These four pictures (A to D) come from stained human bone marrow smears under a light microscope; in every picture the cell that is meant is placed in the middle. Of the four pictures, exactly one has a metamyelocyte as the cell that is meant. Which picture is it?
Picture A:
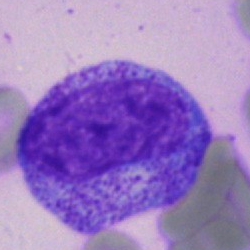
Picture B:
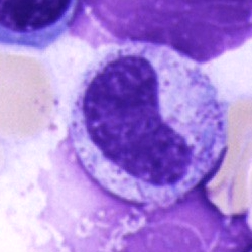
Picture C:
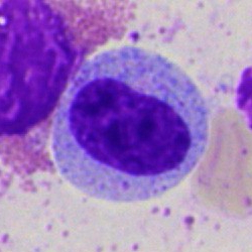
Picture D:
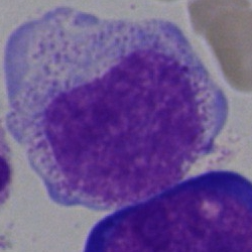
B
